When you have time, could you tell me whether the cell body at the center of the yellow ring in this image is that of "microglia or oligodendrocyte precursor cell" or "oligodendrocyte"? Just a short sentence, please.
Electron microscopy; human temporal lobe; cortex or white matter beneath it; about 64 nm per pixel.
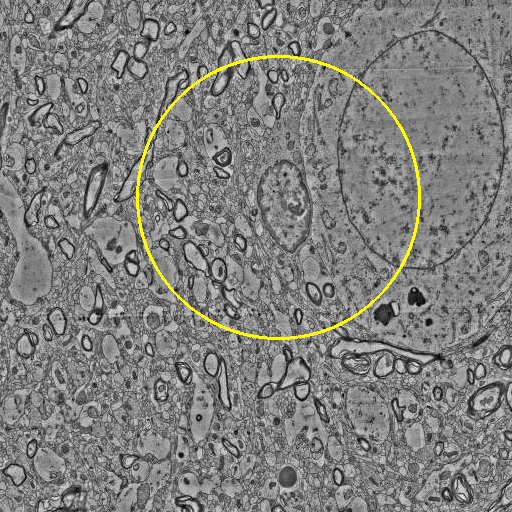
The cell body at the center of the ring is that of an oligodendrocyte.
